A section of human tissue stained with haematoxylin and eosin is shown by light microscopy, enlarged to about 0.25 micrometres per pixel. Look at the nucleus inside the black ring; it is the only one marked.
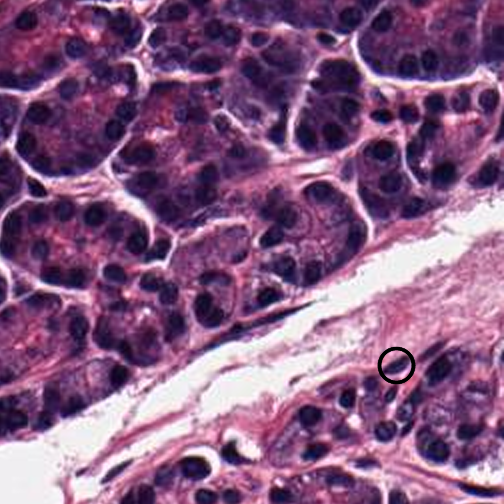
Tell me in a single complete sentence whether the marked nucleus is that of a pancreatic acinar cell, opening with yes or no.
No, it is not a pancreatic acinar cell that owns the marked nucleus but a supporting cell.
